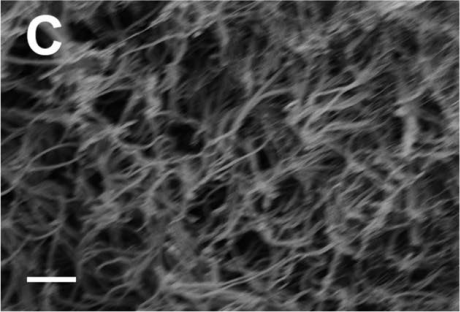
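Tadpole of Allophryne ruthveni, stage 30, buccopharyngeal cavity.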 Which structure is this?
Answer: ciliated fields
